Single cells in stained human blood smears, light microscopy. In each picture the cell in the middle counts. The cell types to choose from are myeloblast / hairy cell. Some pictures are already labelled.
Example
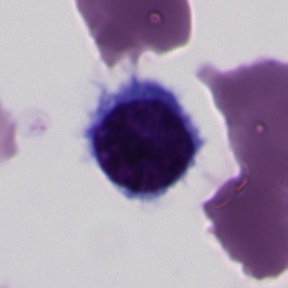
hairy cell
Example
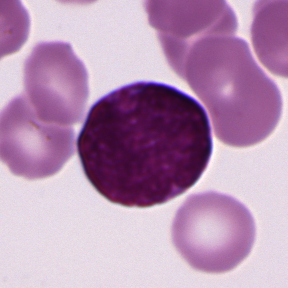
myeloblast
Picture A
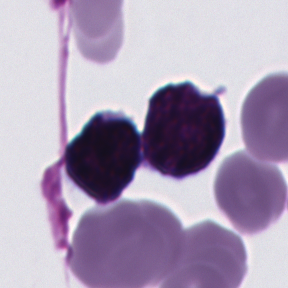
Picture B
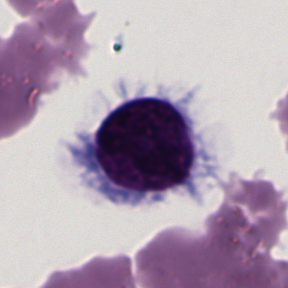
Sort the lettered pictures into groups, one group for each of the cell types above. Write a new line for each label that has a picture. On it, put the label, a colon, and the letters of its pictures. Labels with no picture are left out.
myeloblast: A
hairy cell: B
